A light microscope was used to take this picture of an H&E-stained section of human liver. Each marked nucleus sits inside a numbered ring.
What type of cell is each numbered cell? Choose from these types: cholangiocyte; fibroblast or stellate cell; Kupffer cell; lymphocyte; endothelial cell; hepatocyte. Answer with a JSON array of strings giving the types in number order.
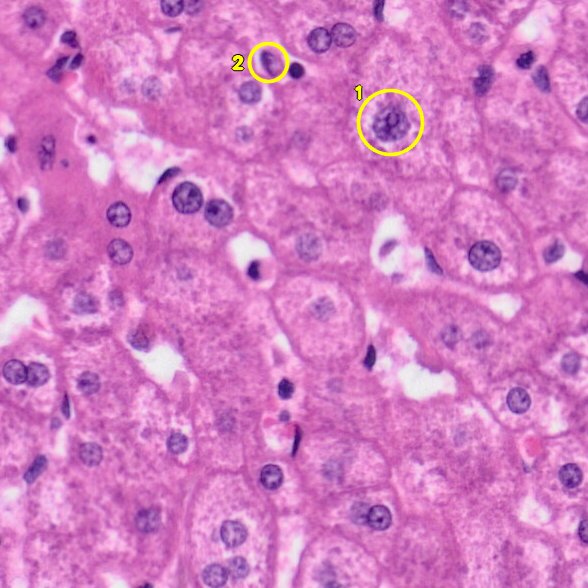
["hepatocyte", "Kupffer cell"]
